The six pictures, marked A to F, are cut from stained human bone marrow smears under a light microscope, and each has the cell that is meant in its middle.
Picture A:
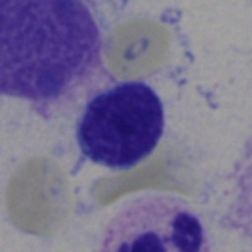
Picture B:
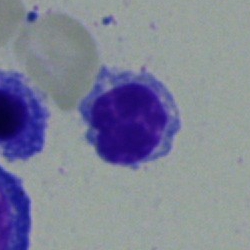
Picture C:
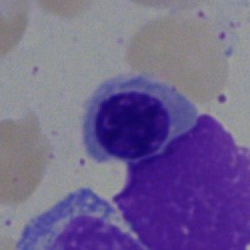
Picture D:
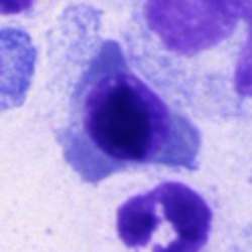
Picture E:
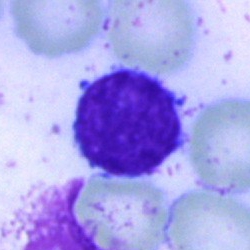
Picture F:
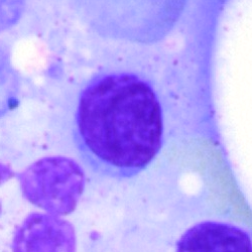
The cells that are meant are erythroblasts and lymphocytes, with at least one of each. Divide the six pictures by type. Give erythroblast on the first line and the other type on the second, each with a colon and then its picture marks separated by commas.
erythroblast: B, C, D
lymphocyte: A, E, F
